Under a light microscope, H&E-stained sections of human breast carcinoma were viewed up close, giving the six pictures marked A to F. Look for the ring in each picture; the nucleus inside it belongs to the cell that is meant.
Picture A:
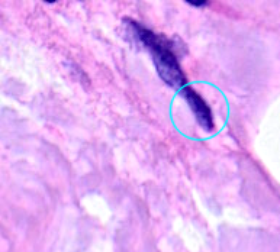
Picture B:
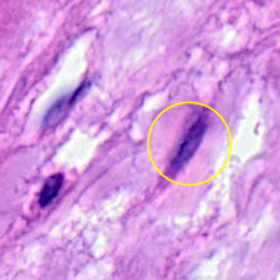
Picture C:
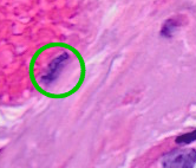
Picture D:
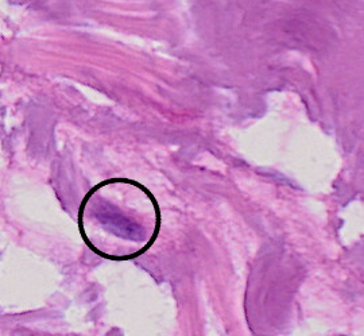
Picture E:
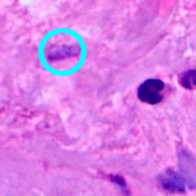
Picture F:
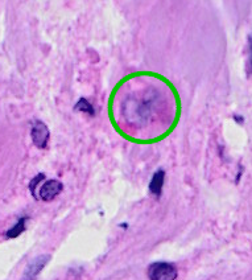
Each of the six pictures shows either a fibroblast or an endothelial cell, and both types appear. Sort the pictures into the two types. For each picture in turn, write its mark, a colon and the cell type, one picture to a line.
A: fibroblast
B: fibroblast
C: endothelial cell
D: fibroblast
E: fibroblast
F: endothelial cell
